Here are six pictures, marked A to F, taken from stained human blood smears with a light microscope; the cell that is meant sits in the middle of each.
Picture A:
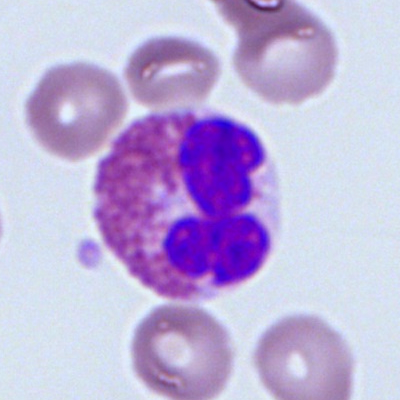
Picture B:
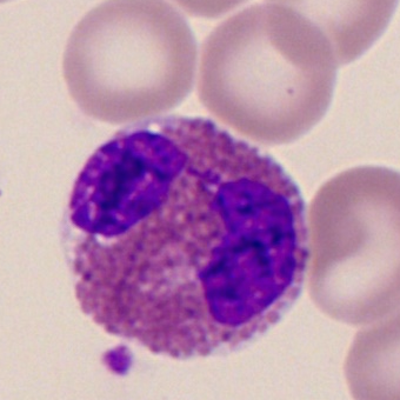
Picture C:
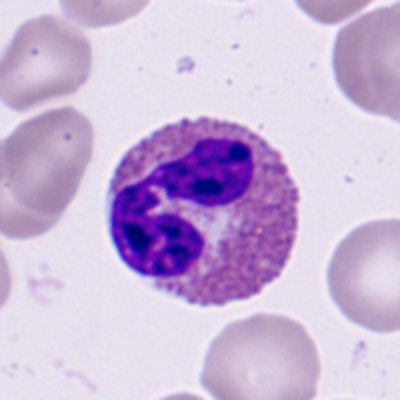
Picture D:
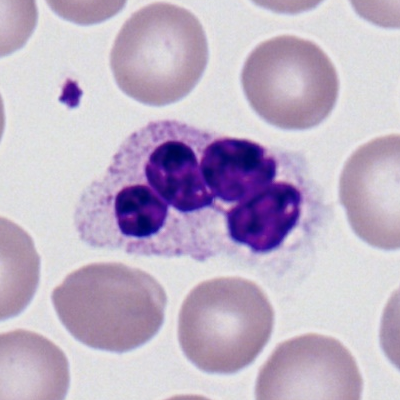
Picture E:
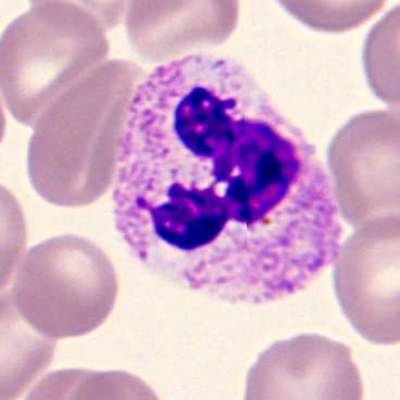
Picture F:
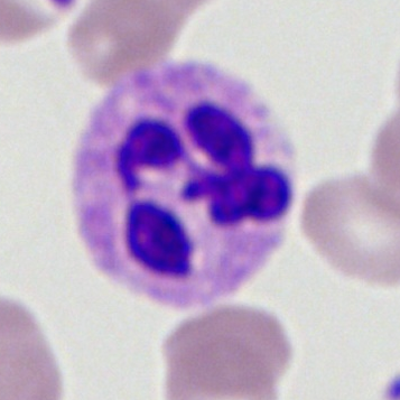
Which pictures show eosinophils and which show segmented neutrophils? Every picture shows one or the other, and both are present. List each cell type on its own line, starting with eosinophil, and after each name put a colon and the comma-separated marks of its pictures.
eosinophil: A, B, C
segmented neutrophil: D, E, F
